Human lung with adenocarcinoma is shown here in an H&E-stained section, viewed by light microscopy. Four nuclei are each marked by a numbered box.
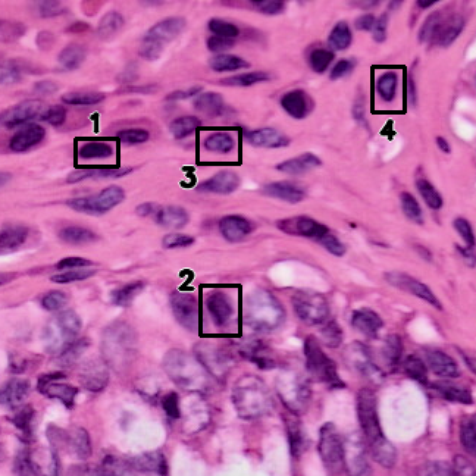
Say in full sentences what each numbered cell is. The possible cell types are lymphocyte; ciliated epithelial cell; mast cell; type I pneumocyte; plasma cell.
Cell 1 is a plasma cell, cell 2 is a ciliated epithelial cell, cell 3 is a mast cell and cell 4 is a mast cell.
